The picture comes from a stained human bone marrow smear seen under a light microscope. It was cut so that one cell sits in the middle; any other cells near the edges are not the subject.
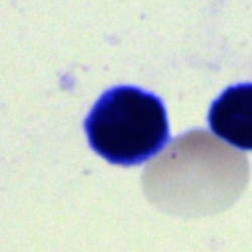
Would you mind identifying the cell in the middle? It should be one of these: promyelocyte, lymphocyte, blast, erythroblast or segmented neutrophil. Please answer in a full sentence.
The central cell in this smear crop is a lymphocyte.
